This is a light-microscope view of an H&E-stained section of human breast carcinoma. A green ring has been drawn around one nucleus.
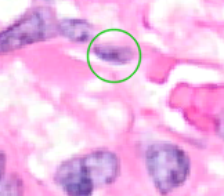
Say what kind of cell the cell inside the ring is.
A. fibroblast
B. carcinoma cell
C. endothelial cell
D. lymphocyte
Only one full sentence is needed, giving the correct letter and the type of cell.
Here the cell inside the ring is an endothelial cell; pick option C.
